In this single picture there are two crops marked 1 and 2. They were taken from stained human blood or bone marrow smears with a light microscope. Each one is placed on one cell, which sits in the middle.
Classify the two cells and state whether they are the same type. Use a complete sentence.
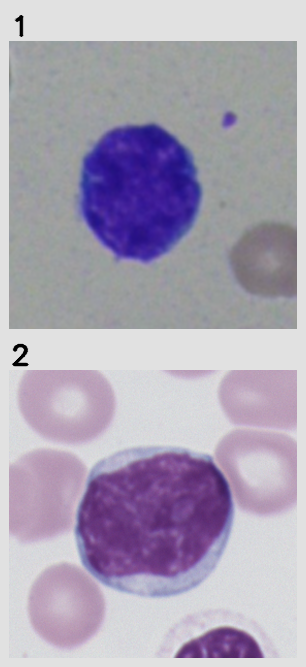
Yes, lymphocytes are what the two crops show.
